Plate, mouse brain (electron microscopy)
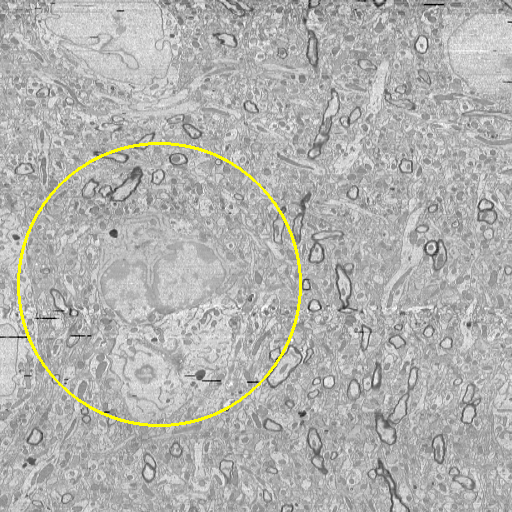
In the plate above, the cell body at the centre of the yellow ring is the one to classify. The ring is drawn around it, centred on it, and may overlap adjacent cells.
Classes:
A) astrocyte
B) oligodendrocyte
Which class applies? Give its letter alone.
B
